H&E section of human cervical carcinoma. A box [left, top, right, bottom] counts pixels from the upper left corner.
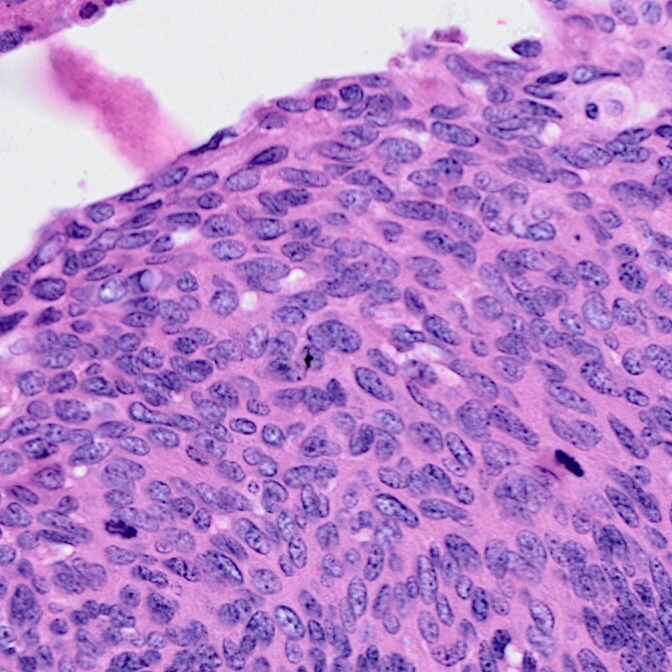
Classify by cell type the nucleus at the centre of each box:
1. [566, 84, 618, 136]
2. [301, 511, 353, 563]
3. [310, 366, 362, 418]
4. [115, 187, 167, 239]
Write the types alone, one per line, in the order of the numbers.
lymphocyte
squamous carcinoma cell
squamous carcinoma cell
squamous carcinoma cell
